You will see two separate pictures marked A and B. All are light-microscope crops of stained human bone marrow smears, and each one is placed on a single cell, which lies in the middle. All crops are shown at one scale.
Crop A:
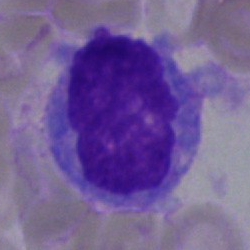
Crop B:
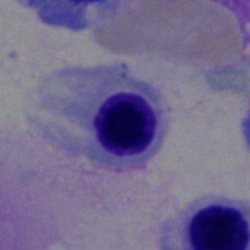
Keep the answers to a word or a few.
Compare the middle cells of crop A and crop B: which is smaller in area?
B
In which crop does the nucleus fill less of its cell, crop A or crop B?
B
